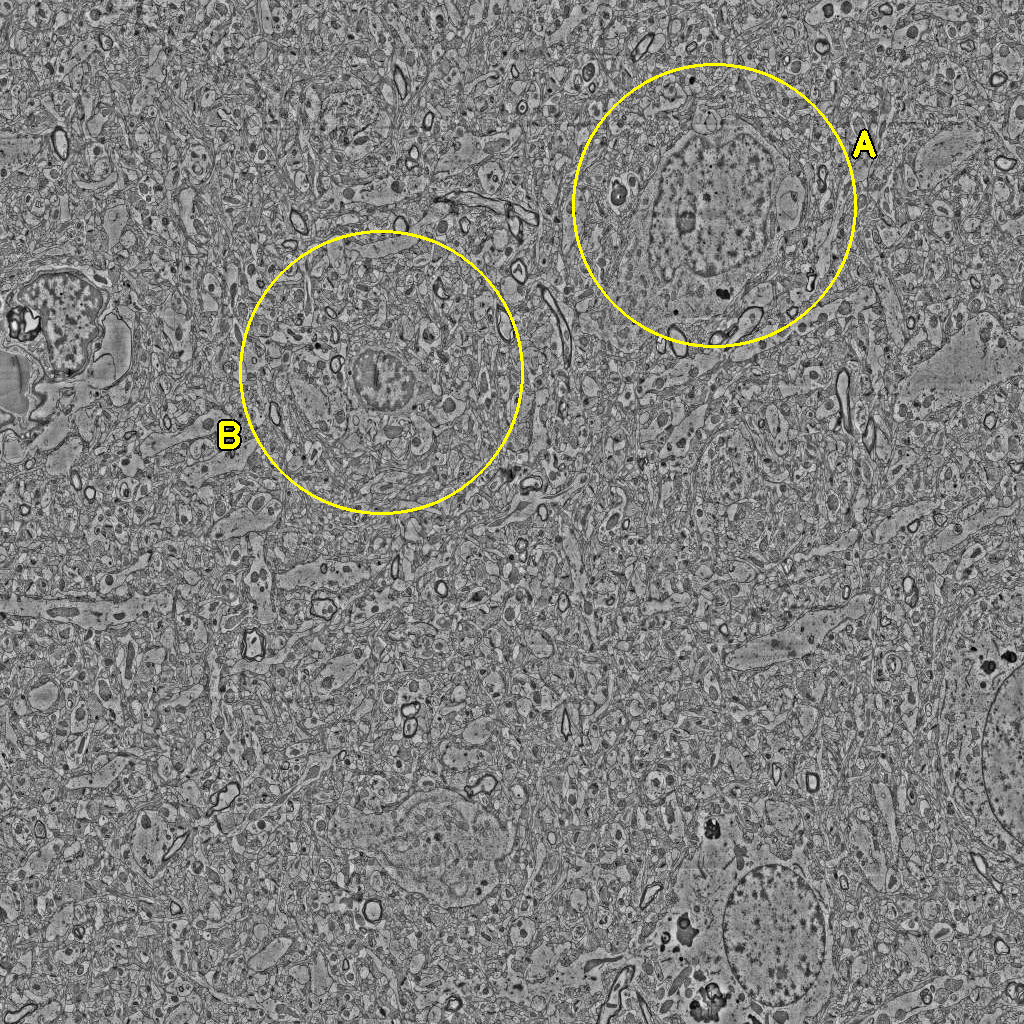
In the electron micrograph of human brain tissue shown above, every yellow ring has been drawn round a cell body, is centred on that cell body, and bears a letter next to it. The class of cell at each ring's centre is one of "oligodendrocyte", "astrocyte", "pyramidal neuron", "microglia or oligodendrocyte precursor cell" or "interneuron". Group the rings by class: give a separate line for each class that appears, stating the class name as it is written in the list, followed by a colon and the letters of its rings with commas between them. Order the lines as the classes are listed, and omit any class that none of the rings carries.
oligodendrocyte: B
interneuron: A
